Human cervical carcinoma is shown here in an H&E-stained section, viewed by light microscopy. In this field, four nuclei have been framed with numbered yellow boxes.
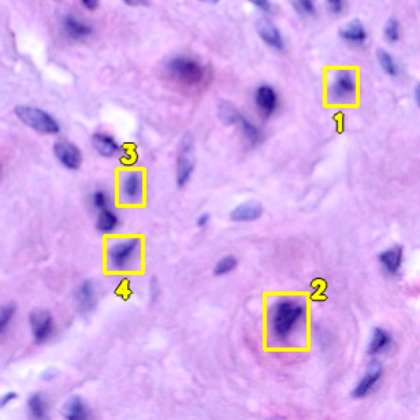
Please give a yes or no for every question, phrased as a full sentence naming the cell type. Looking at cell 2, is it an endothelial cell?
Yes, number 2 marks a cell that is an endothelial cell.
